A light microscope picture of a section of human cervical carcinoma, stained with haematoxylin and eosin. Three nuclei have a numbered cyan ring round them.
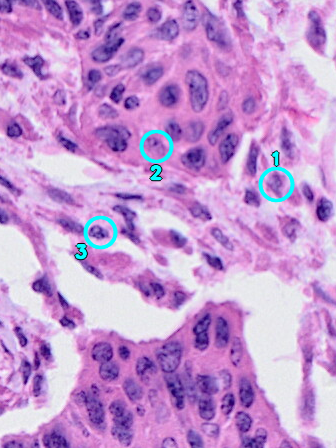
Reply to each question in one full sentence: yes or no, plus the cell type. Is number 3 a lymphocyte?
Yes, the cell whose number is 3 is a lymphocyte.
